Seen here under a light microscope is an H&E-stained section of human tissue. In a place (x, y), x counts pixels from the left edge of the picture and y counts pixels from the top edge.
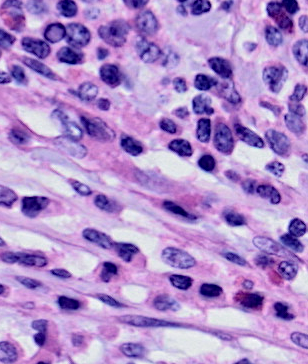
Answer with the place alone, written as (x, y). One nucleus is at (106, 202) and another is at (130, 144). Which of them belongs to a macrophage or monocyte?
(106, 202)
